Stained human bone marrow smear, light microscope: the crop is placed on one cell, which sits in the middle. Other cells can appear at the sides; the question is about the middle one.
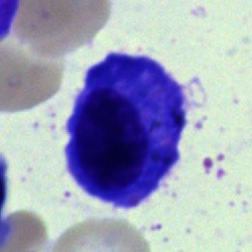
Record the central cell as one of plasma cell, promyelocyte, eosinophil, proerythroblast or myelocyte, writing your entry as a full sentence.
Framed in the middle of the crop is a plasma cell.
